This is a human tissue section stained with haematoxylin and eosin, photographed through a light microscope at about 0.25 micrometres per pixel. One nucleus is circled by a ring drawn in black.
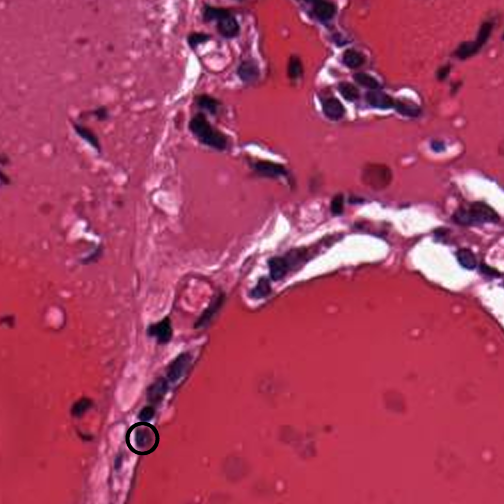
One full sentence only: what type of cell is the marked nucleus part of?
In this section, the marked nucleus is that of a thyroid follicular cell.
